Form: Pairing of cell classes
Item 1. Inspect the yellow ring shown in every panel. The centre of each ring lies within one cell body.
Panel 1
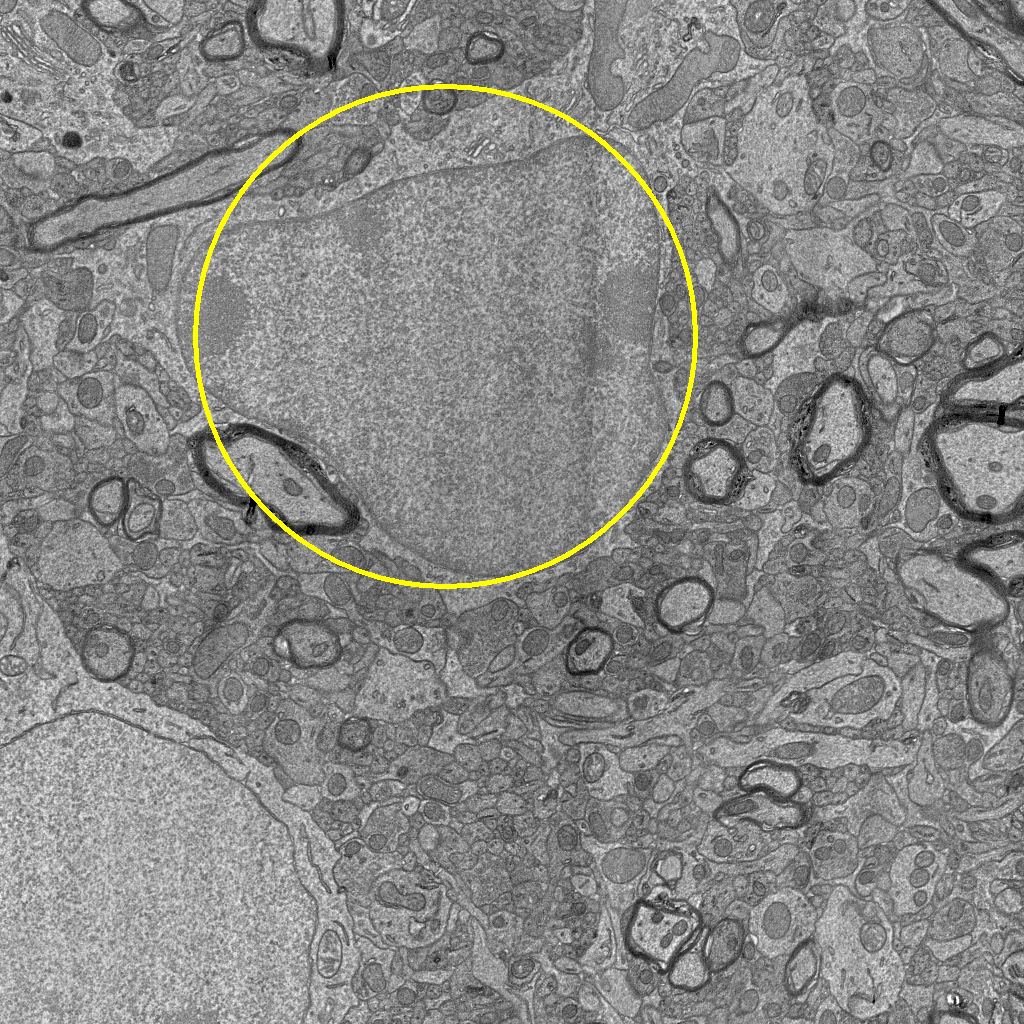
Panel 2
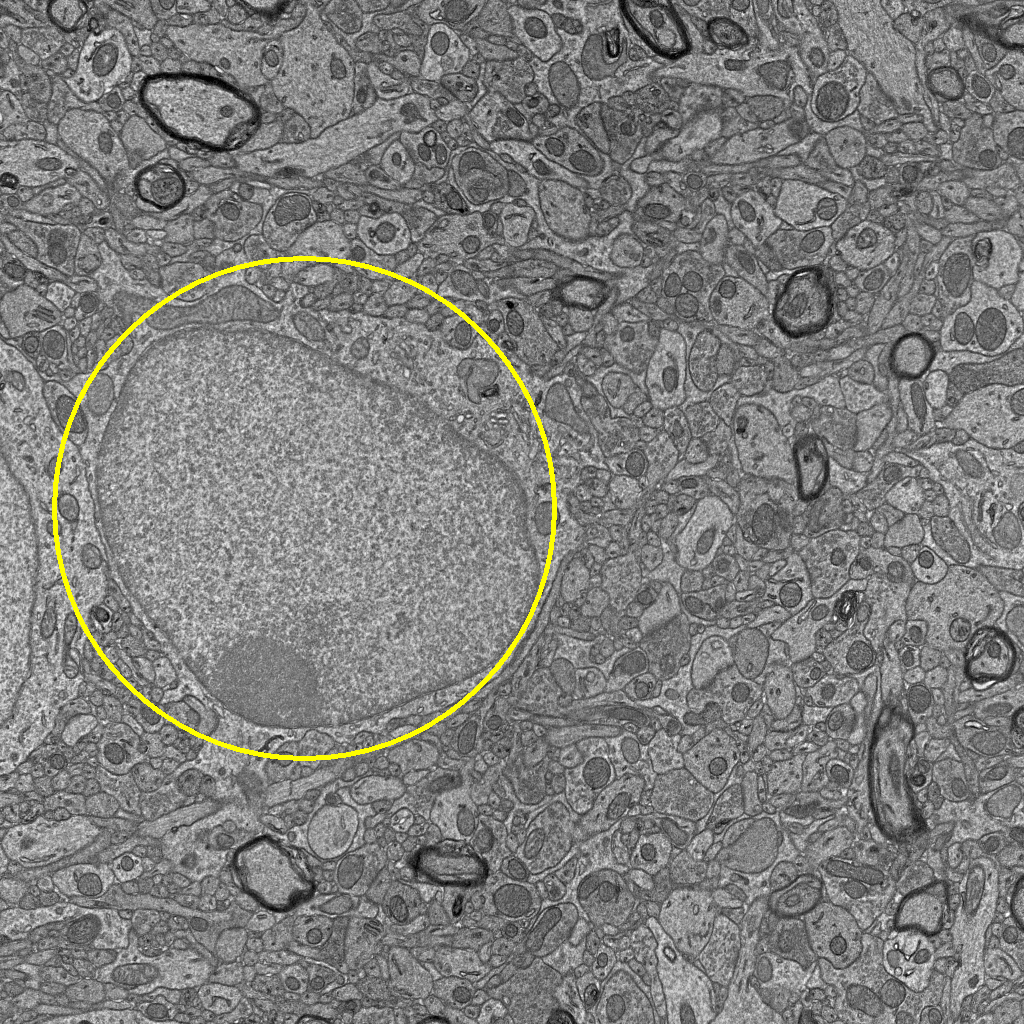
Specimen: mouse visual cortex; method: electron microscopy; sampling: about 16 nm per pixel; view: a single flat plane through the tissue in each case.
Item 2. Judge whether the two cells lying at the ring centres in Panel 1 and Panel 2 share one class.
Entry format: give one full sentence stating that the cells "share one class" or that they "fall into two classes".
The cells at the ring centres in Panel 1 and Panel 2 share one class.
